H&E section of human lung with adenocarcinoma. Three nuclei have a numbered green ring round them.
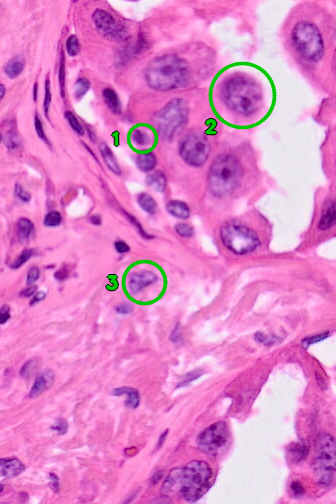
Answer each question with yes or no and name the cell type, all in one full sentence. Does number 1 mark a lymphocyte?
Yes, the cell to which number 1 refers is a lymphocyte.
